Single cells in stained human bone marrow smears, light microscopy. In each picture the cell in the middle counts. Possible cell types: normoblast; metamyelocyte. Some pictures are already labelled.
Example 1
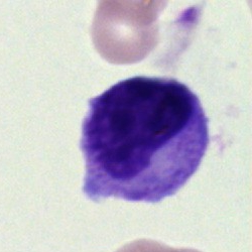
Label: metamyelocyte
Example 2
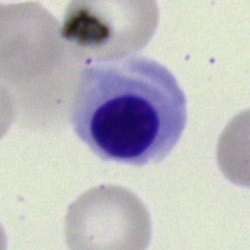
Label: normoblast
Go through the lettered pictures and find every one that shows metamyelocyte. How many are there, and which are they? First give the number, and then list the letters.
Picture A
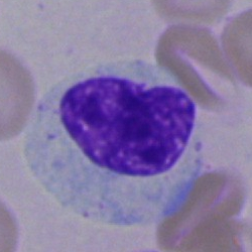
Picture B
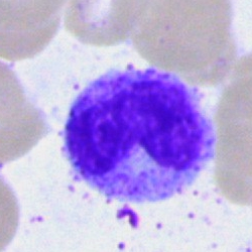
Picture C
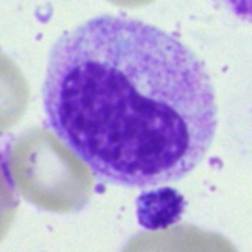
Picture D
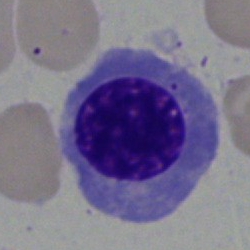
Count: 3 (A, B, C)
